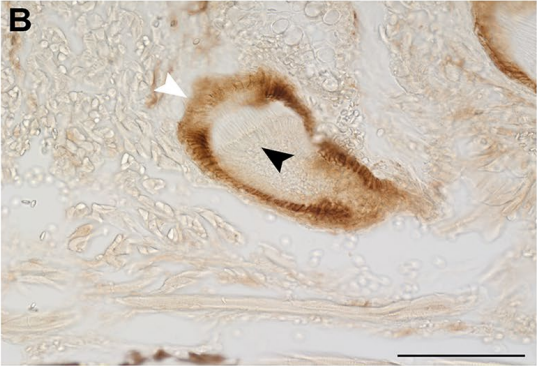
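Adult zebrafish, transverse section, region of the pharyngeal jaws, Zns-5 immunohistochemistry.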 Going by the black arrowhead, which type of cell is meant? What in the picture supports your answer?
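Odontoblasts. The arrowhead points at pale cells inside the tooth germ. These cells lie inward of the brown-stained outer cell layer.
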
